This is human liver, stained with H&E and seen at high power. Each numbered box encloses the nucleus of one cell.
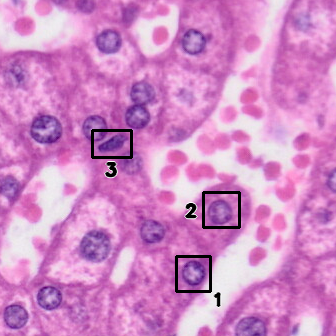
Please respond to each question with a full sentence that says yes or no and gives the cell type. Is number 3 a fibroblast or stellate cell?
Yes, the cell that is numbered 3 is a fibroblast or stellate cell.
